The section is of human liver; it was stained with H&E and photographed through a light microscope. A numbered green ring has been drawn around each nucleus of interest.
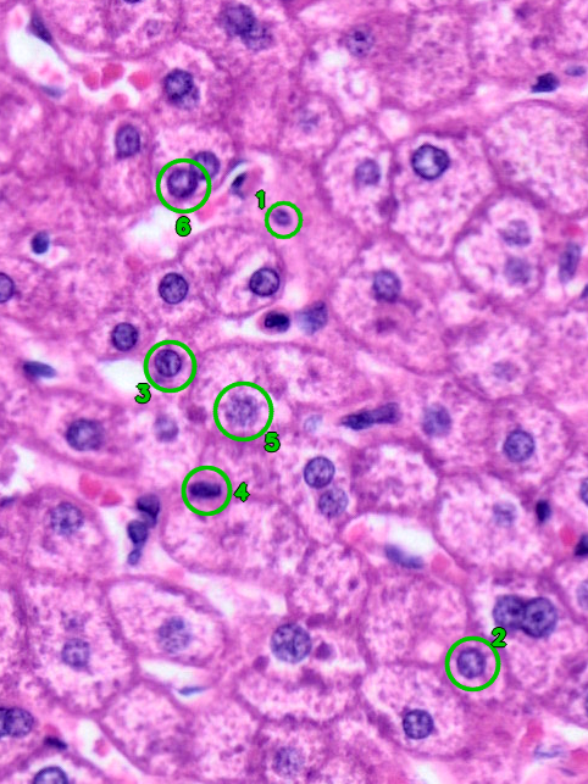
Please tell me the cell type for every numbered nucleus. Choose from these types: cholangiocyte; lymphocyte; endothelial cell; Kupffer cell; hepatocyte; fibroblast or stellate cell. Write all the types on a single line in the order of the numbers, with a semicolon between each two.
lymphocyte; hepatocyte; hepatocyte; fibroblast or stellate cell; hepatocyte; hepatocyte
